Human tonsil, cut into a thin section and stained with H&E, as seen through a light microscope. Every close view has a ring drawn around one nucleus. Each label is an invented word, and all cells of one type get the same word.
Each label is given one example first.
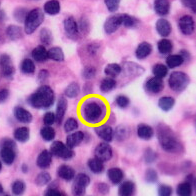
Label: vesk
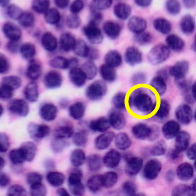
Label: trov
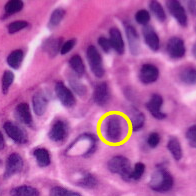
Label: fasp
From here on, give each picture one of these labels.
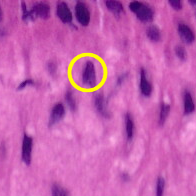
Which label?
fasp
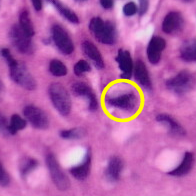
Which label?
fasp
